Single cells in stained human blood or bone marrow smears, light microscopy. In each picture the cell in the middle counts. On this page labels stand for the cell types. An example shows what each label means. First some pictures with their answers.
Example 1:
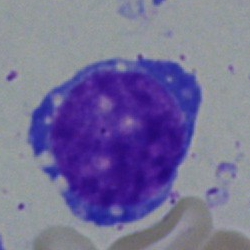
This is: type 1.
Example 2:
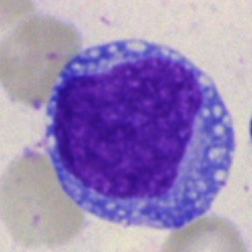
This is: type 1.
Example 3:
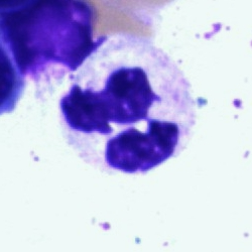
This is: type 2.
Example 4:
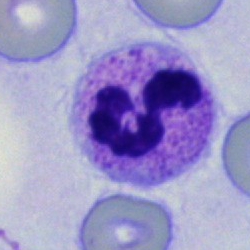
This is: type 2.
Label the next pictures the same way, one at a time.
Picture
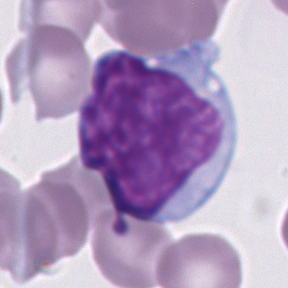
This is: type 1.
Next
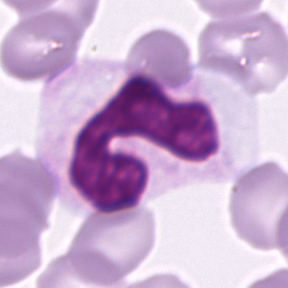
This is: type 2.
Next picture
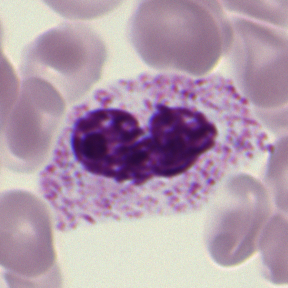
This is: type 2.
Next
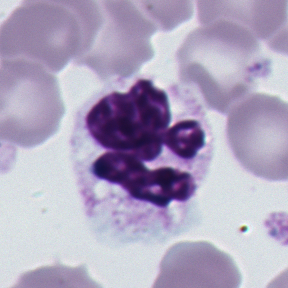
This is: type 2.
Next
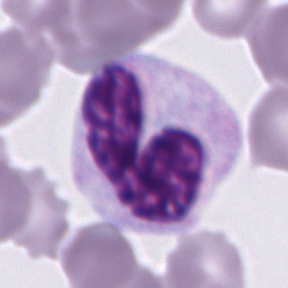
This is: type 2.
